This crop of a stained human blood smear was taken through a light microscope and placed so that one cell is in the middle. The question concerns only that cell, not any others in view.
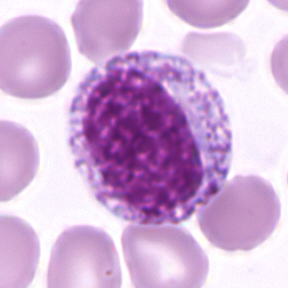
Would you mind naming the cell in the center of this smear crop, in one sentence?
The cell in the middle of the field of view is a myelocyte.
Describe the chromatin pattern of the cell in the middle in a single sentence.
One feature to record is coarsely clumped chromatin.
